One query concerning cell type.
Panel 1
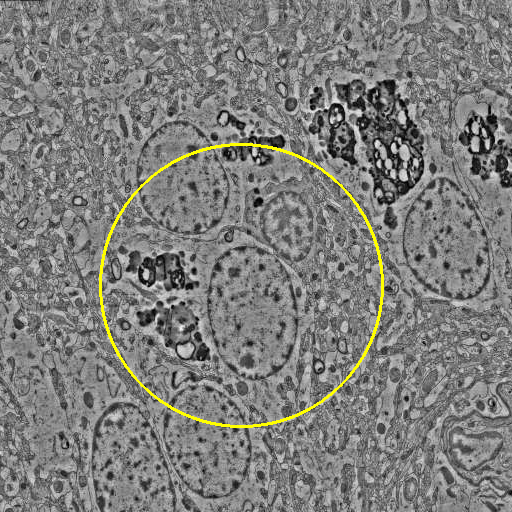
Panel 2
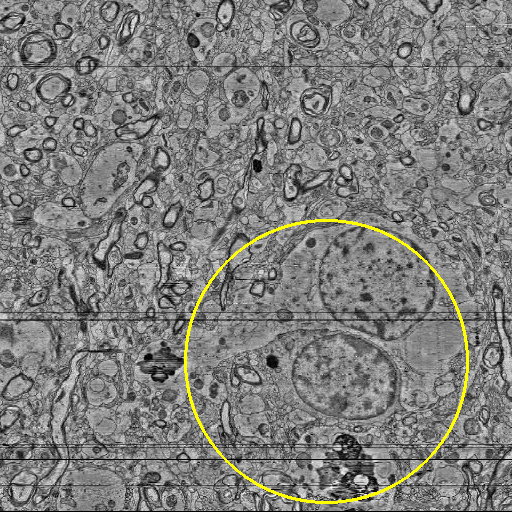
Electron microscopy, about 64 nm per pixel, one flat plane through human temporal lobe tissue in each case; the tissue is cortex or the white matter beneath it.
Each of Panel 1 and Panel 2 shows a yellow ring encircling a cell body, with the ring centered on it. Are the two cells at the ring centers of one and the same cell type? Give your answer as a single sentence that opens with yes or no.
No, the cell centered in Panel 1 and the one in Panel 2 are of two types.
